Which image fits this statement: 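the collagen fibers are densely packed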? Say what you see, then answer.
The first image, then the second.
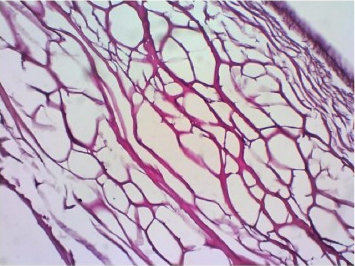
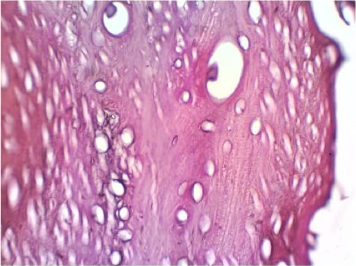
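First image: thin pink strands form a loose meshwork around large clear spaces. That points to this answer: the second image.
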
